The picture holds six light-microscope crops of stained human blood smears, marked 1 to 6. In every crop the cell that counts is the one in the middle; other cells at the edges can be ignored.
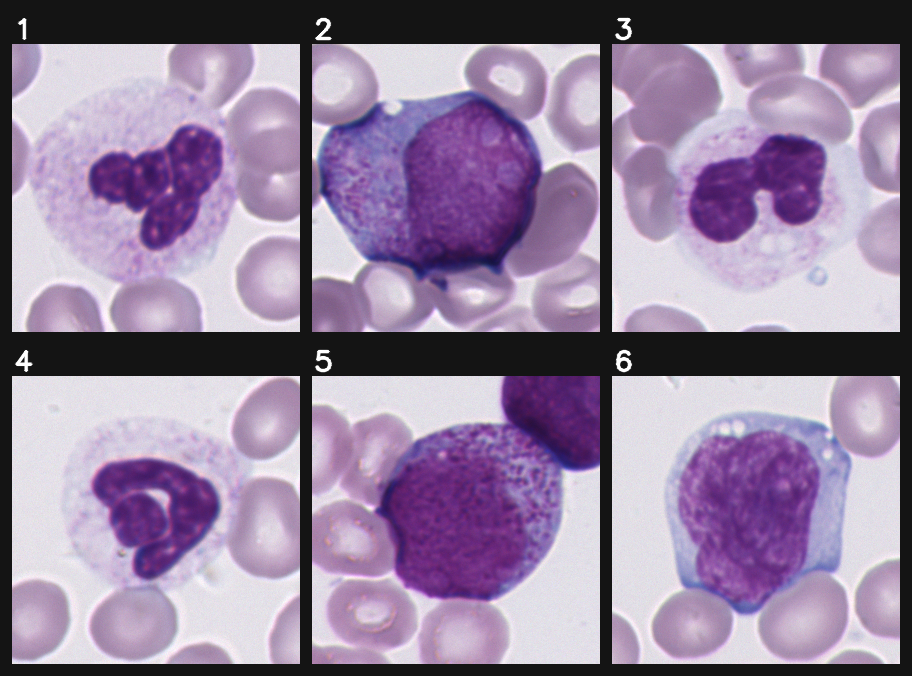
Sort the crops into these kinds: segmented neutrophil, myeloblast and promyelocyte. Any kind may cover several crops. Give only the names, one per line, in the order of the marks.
segmented neutrophil
promyelocyte
segmented neutrophil
segmented neutrophil
promyelocyte
myeloblast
